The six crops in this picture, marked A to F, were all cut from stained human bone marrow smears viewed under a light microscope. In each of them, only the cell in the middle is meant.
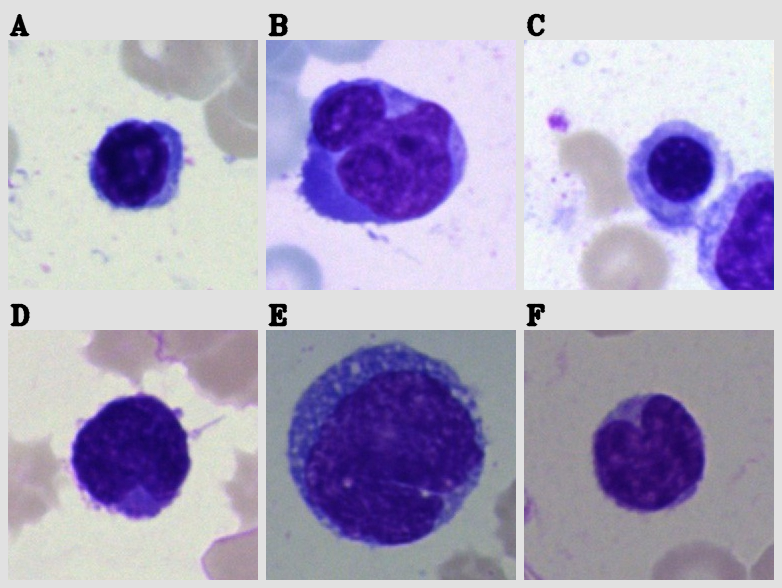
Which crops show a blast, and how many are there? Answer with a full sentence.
The four crops showing blasts are B, D, E and F.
